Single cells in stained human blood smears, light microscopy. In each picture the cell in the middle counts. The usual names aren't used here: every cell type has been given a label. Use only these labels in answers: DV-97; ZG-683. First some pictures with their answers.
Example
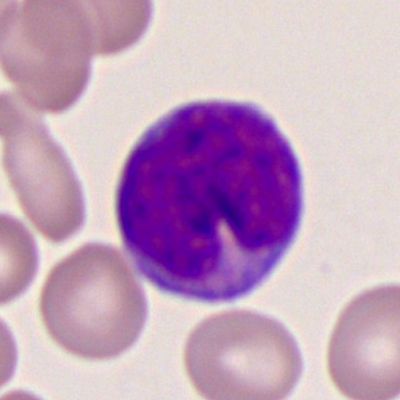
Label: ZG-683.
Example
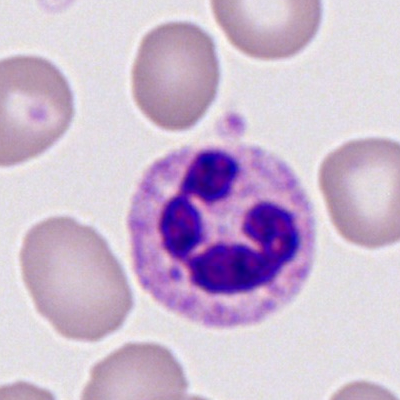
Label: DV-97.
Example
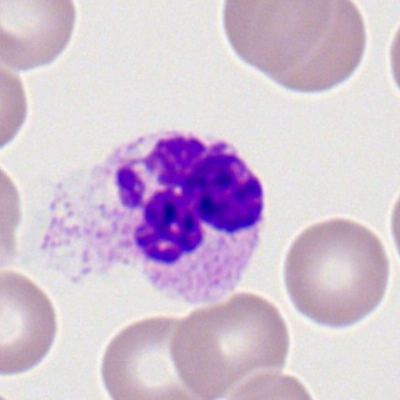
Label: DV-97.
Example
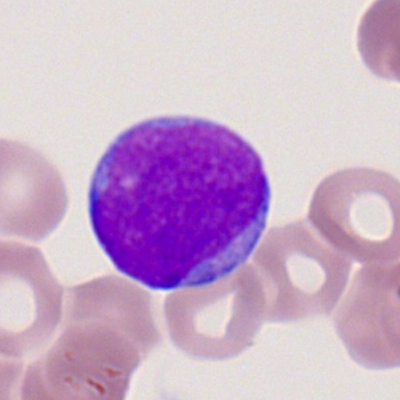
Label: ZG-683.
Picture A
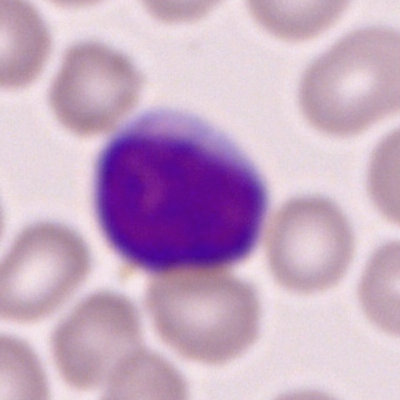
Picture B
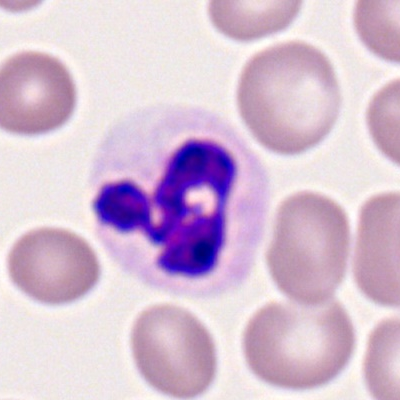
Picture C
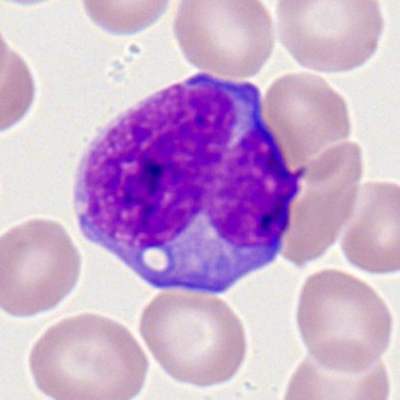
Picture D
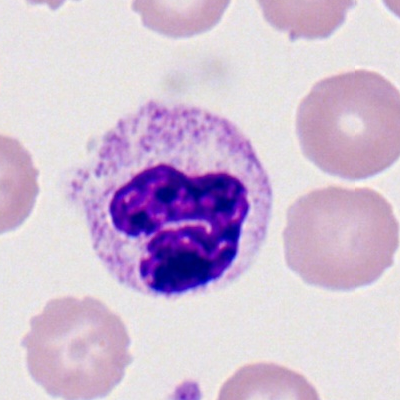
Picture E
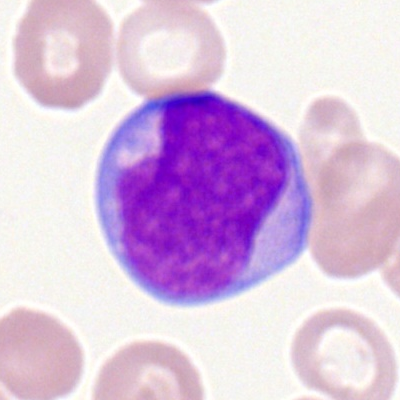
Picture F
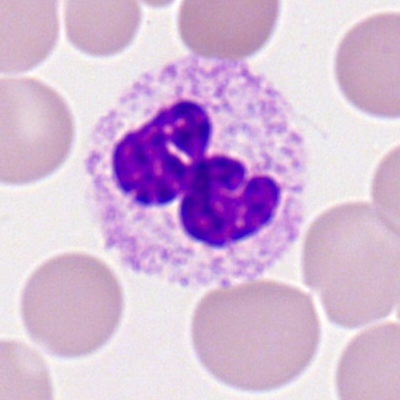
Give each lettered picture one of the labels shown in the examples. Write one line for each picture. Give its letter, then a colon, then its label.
A: ZG-683.
B: DV-97.
C: ZG-683.
D: DV-97.
E: ZG-683.
F: DV-97.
